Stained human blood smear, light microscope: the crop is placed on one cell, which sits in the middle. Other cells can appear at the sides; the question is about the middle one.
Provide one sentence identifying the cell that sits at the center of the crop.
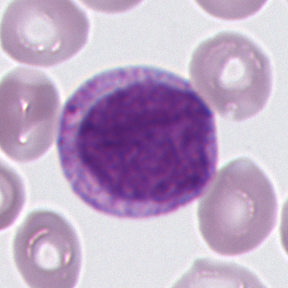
As for the cell in the middle, it is an atypical promyelocyte.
